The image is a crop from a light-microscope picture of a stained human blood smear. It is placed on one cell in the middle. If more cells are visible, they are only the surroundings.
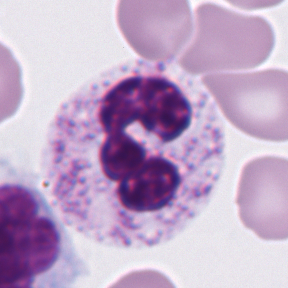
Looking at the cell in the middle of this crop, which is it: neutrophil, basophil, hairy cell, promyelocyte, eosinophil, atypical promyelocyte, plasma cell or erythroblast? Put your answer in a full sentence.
The central cell shown in this smear crop is a neutrophil.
